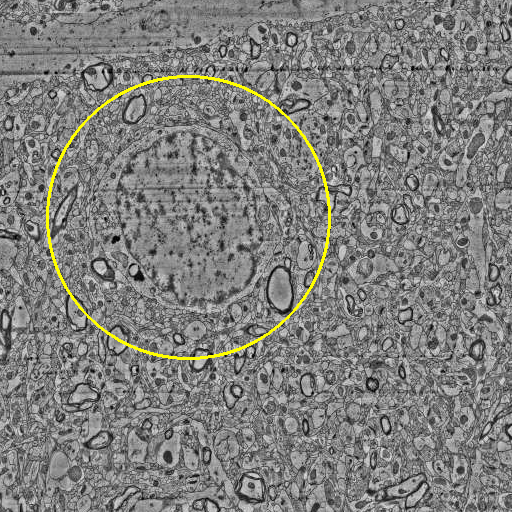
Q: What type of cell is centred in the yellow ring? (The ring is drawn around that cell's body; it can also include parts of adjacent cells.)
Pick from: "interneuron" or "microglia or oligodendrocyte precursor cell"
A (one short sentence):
The yellow ring is centred on an interneuron.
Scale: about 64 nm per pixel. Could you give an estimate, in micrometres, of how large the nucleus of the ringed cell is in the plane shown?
The nucleus of the ringed cell is approximately 11 by 9 micrometres in this plane.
